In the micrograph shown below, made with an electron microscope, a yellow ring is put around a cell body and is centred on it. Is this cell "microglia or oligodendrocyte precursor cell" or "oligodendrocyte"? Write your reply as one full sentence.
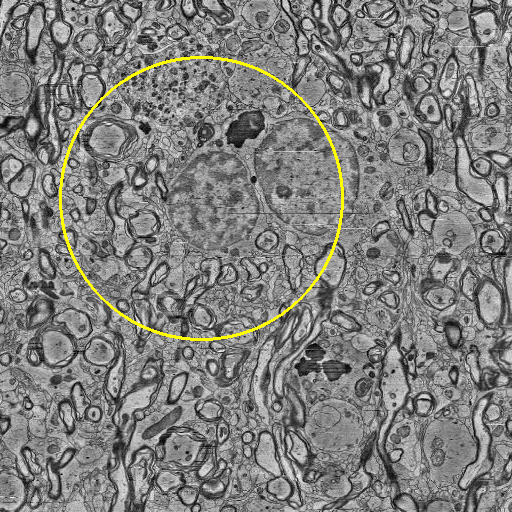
In the micrograph, an oligodendrocyte is the cell at the centre of the yellow ring.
